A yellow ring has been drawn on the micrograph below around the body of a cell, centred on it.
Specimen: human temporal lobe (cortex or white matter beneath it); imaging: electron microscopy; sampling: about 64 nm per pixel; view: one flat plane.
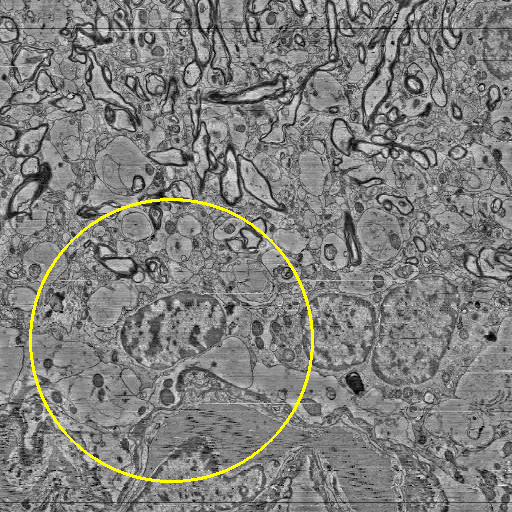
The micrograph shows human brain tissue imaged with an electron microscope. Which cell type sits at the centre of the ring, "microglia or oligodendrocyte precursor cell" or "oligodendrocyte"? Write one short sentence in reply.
The cell sitting at the centre of the ring is a microglial cell or oligodendrocyte precursor cell.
